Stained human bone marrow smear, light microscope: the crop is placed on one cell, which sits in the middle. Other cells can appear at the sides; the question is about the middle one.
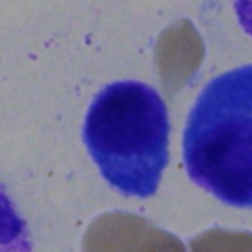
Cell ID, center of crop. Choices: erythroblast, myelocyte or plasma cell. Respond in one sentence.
The identification for the central cell is a plasma cell.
